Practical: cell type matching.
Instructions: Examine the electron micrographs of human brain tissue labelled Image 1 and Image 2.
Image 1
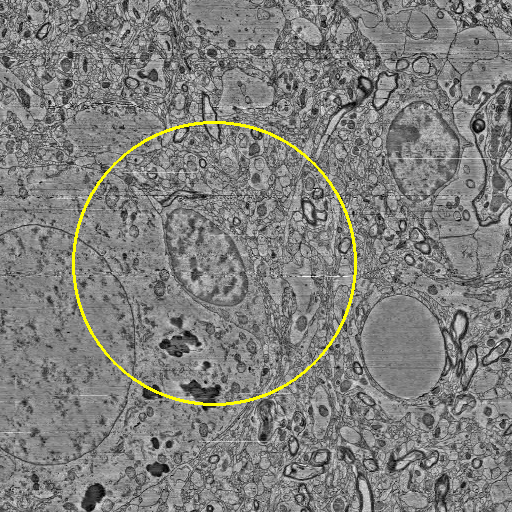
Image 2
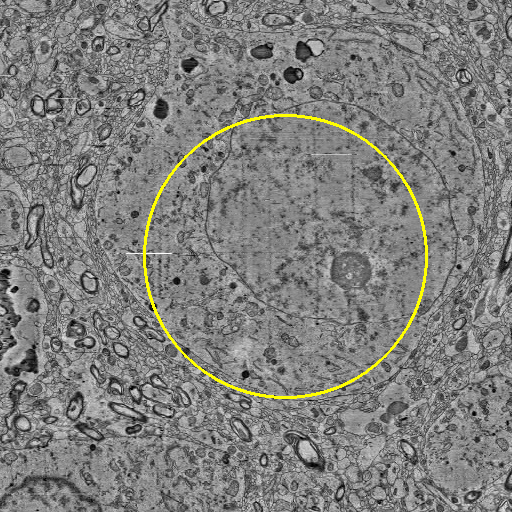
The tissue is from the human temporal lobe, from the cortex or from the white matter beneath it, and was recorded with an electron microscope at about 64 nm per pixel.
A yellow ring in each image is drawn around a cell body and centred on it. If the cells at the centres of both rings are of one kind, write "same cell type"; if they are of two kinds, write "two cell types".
two cell types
